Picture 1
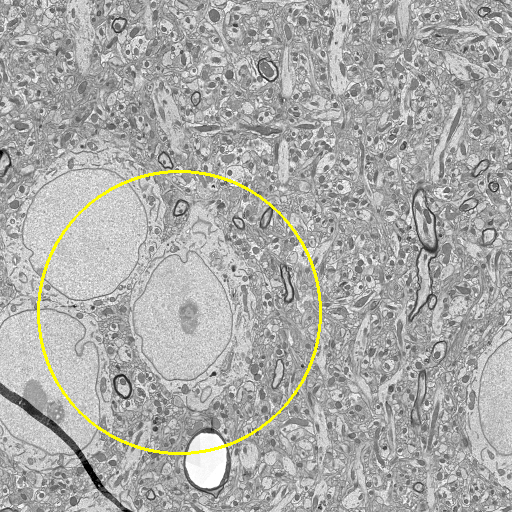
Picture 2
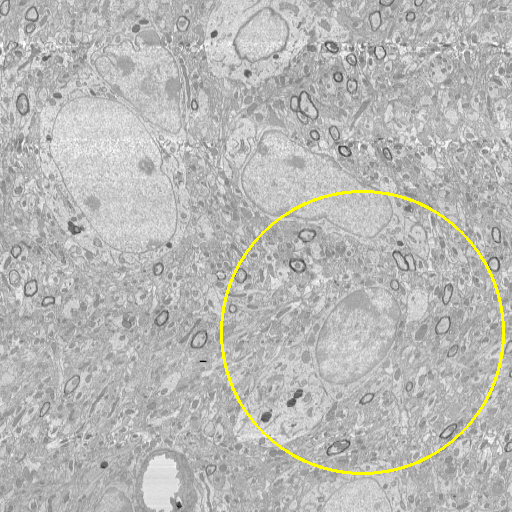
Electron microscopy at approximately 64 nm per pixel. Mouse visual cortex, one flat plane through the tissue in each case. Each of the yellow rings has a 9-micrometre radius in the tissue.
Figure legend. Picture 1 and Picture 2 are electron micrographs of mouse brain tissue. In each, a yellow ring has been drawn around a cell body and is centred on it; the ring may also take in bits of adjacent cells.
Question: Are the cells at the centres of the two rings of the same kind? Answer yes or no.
no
